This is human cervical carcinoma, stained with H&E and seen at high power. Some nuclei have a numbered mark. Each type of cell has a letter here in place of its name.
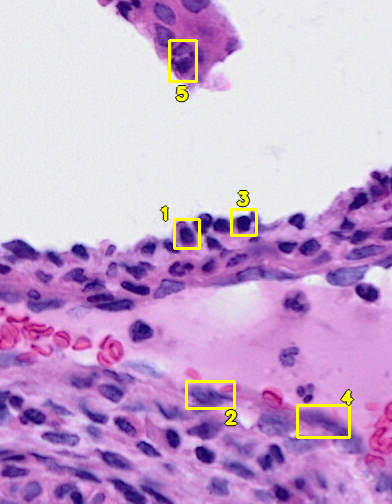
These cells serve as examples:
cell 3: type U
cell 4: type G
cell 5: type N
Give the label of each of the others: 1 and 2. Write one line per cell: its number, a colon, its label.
1: type U
2: type G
